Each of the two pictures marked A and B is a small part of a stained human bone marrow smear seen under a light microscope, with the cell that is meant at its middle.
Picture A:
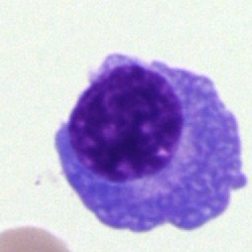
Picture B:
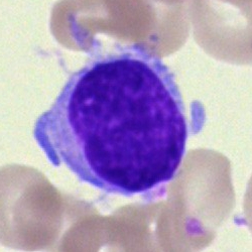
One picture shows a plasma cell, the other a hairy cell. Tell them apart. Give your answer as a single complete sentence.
In picture A the cell is a plasma cell; in picture B, a hairy cell.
